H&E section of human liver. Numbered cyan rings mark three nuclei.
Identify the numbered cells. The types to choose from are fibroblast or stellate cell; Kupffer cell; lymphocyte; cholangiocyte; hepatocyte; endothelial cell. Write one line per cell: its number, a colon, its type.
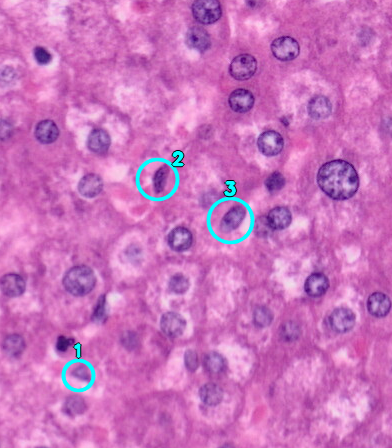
1: Kupffer cell
2: fibroblast or stellate cell
3: Kupffer cell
